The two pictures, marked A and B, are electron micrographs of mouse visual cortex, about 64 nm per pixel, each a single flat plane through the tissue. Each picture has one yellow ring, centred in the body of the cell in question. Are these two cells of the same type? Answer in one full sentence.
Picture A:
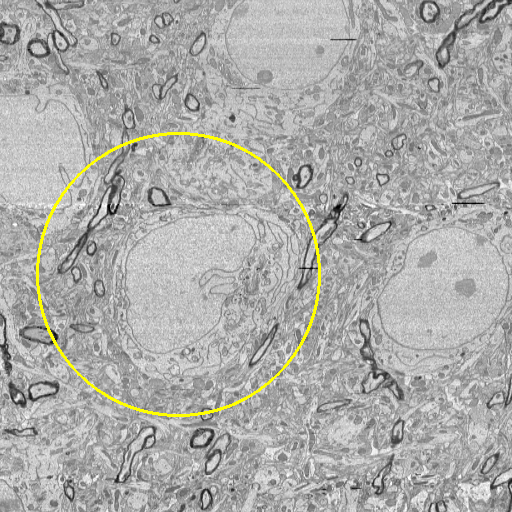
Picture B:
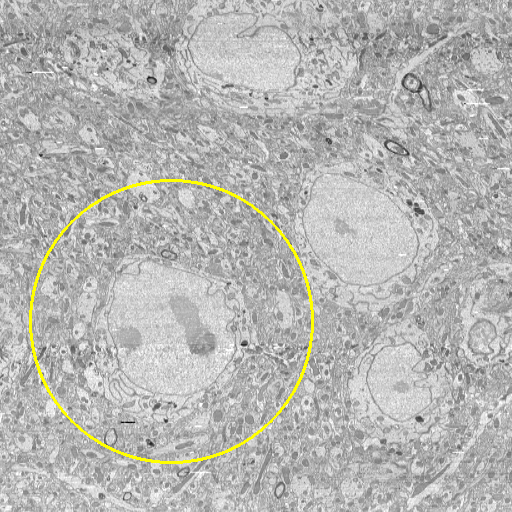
Yes, both cells are inhibitory neurons.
